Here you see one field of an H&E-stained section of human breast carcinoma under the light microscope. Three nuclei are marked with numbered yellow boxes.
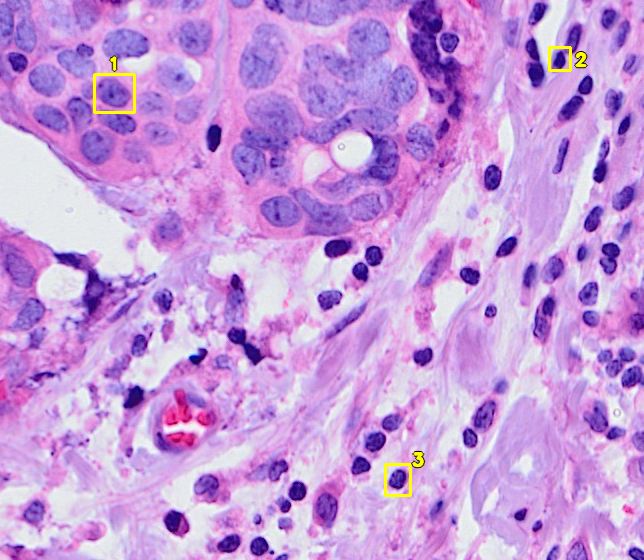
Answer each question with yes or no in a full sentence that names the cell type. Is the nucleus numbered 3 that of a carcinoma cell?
No, the cell tagged 3 is a lymphocyte, and not a carcinoma cell.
